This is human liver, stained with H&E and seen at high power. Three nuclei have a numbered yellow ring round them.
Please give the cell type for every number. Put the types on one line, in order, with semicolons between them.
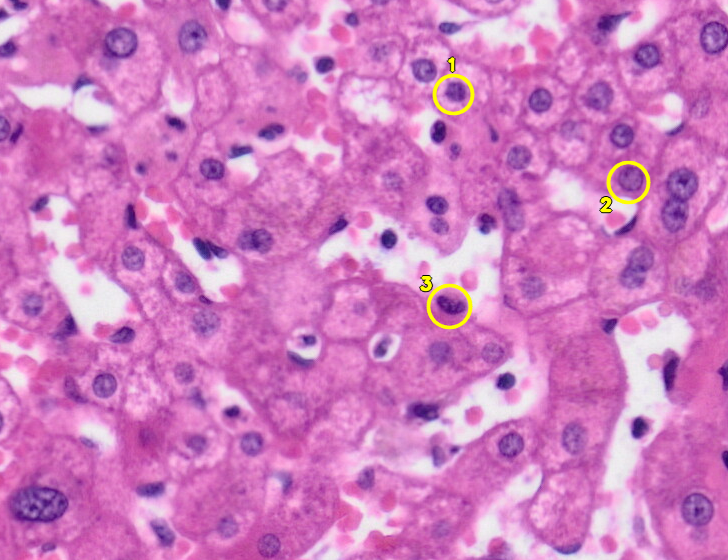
hepatocyte; hepatocyte; Kupffer cell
